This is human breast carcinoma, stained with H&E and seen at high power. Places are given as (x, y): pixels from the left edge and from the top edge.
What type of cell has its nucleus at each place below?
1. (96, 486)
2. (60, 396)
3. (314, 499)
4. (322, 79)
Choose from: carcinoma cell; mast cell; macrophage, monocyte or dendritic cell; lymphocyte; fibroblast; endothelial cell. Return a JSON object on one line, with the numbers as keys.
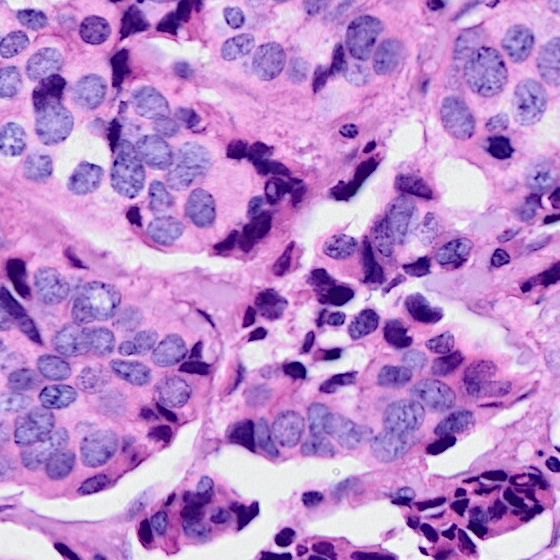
{"1": "carcinoma cell", "2": "carcinoma cell", "3": "lymphocyte", "4": "carcinoma cell"}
